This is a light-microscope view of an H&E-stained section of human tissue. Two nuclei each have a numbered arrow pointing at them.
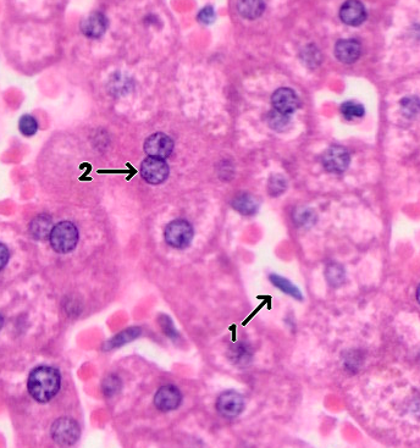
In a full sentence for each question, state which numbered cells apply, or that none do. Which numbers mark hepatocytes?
Being a hepatocyte is true of cell 2 and of no other numbered cell.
